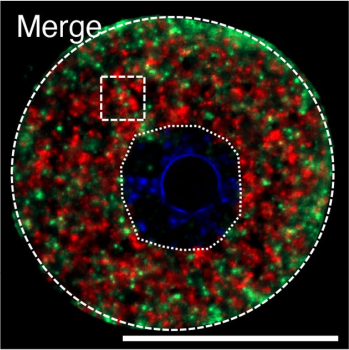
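This is a whole oocyte seen by itself, a large round cell outlined by a dashed line, with the germinal vesicle outlined by a dotted line slightly off the centre. The cytoplasm is densely filled with granular green and red signal, the red forming larger patchy clusters and the green smaller discrete dots. Within the germinal vesicle, blue-stained chromatin forms a ring-like structure with small bright spots. Most green and red granules sit next to each other rather than coinciding, giving a speckled mixed pattern.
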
